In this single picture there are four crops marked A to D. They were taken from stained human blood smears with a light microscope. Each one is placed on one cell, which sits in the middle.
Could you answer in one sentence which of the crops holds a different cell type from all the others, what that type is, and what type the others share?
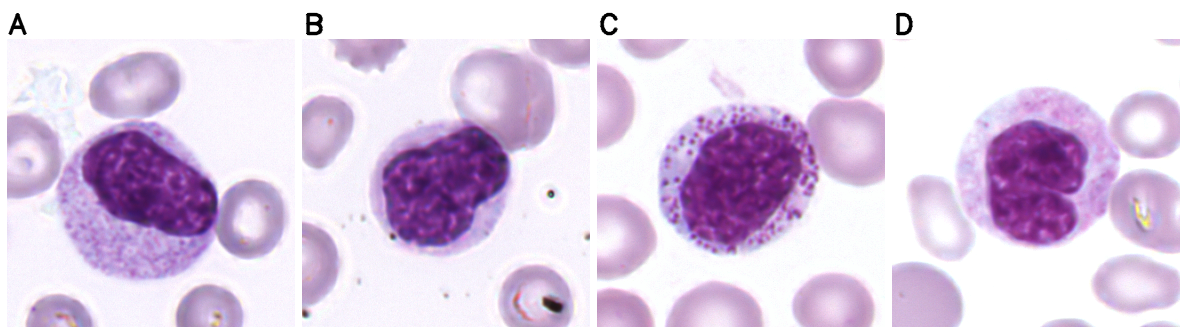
The single exception is crop D, which is a band neutrophil; all other crops show metamyelocytes.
